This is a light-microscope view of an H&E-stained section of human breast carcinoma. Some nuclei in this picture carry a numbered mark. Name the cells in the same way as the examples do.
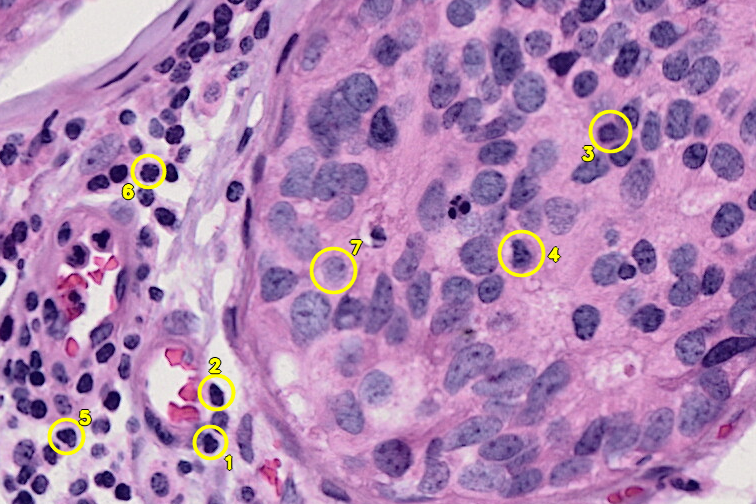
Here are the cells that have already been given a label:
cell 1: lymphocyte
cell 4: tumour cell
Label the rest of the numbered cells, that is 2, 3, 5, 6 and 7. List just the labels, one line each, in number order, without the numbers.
lymphocyte
tumour cell
lymphocyte
lymphocyte
tumour cell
